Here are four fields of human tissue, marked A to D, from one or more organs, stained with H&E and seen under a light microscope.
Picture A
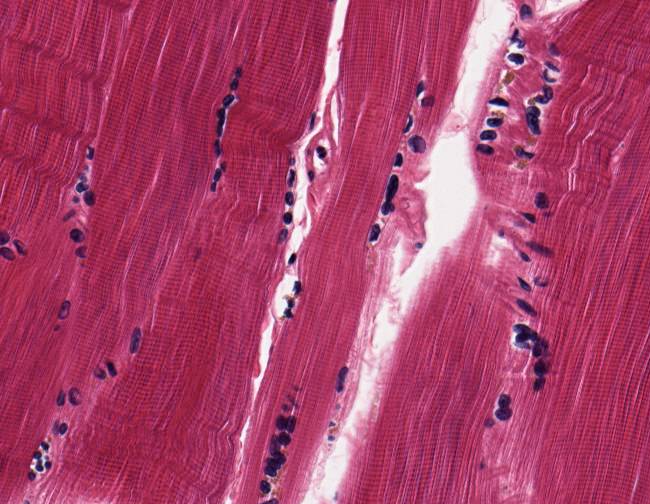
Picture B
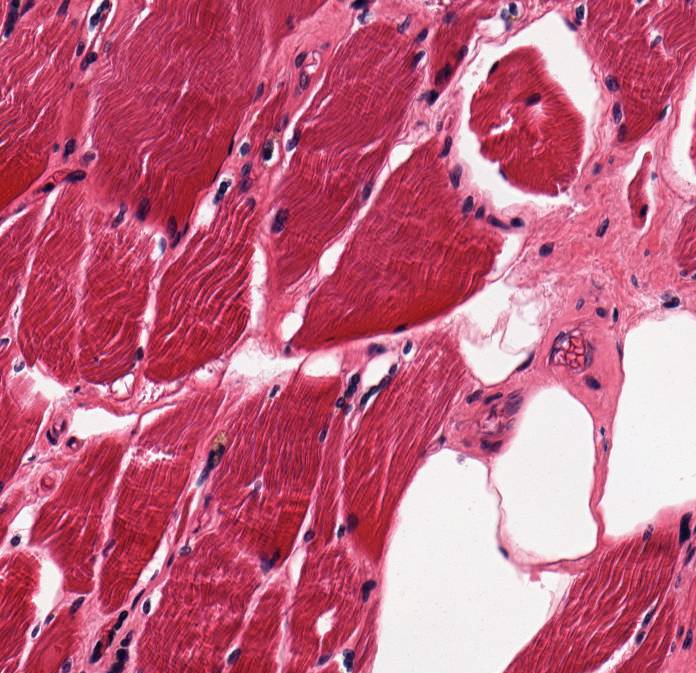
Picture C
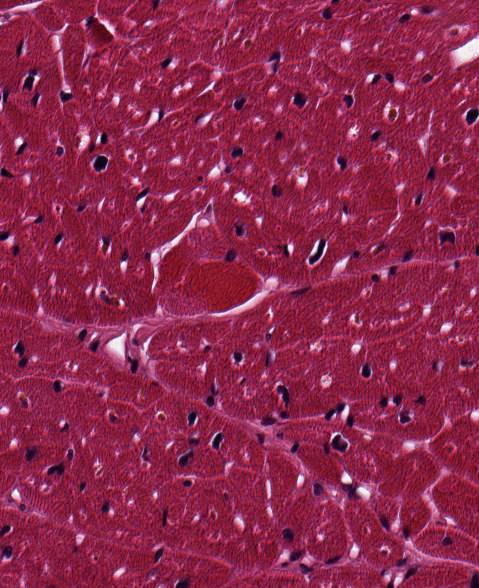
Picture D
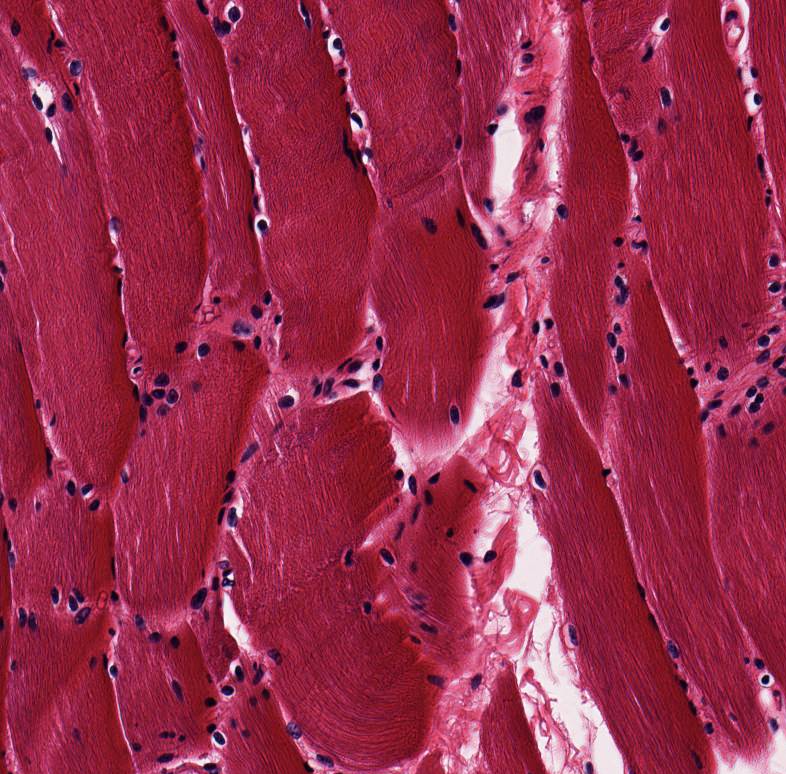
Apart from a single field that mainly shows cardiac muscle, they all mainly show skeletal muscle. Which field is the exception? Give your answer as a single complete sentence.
Picture C is the field that mainly shows cardiac muscle.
